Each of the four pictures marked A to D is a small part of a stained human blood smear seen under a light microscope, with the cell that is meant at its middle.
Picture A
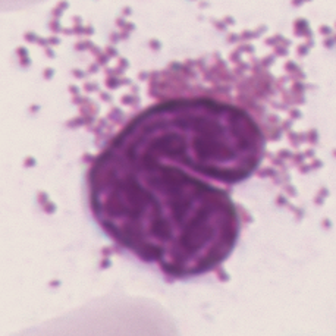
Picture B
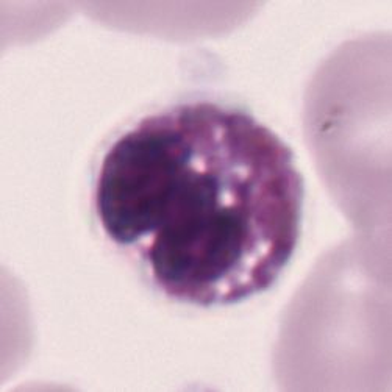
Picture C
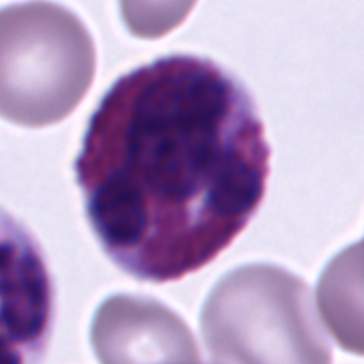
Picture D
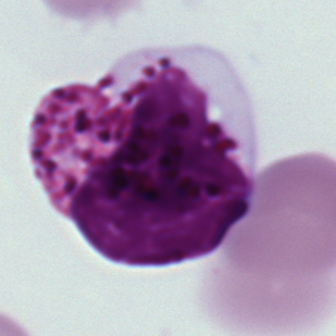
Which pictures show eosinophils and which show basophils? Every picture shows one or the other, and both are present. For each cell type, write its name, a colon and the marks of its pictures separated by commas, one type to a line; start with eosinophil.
eosinophil: A, B, C
basophil: D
